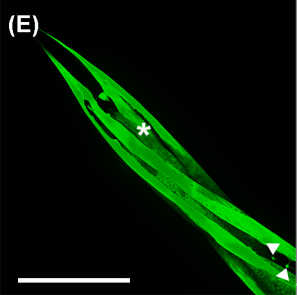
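This is the tapering hind end of an adult worm, where long bright green bands of body-wall muscle run lengthwise along the body and narrow toward the tail. Between them lies the broad central tube of the intestine, also green, marked by the asterisk.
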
